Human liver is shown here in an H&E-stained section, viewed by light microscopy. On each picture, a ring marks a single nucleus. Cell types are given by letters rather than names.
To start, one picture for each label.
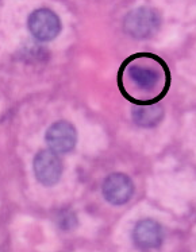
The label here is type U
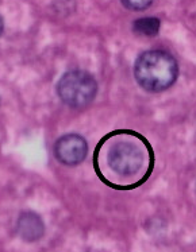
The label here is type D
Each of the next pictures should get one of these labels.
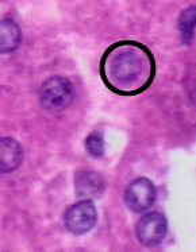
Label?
type D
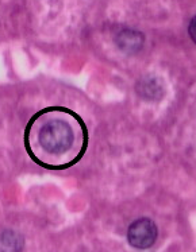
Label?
type D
